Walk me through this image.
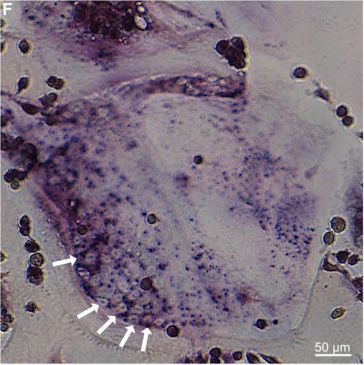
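A very large, purple-stained cell spreads across most of the field, far bigger than the small round cells gathered at its margins. Its cytoplasm is packed with many dark, dot-like nuclei, especially dense toward the lower edge. The staining is strongest at the rim and thinner in the middle, and a few small round cells lie on top of or beside it.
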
